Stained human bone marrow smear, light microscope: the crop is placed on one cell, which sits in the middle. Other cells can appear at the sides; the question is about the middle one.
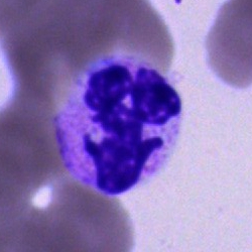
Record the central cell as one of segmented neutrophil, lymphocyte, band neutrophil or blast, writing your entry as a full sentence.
In this crop, the cell at the very middle is a segmented neutrophil.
